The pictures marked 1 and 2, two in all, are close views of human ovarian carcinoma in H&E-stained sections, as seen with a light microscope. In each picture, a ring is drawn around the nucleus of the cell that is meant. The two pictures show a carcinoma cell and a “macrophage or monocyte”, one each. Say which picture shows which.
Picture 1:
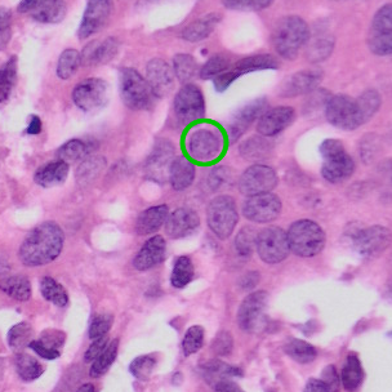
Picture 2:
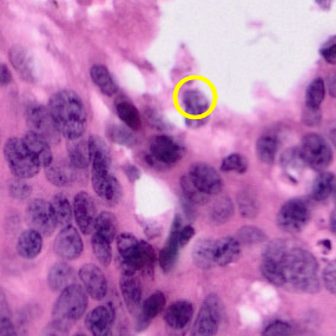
1: carcinoma cell
2: macrophage or monocyte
